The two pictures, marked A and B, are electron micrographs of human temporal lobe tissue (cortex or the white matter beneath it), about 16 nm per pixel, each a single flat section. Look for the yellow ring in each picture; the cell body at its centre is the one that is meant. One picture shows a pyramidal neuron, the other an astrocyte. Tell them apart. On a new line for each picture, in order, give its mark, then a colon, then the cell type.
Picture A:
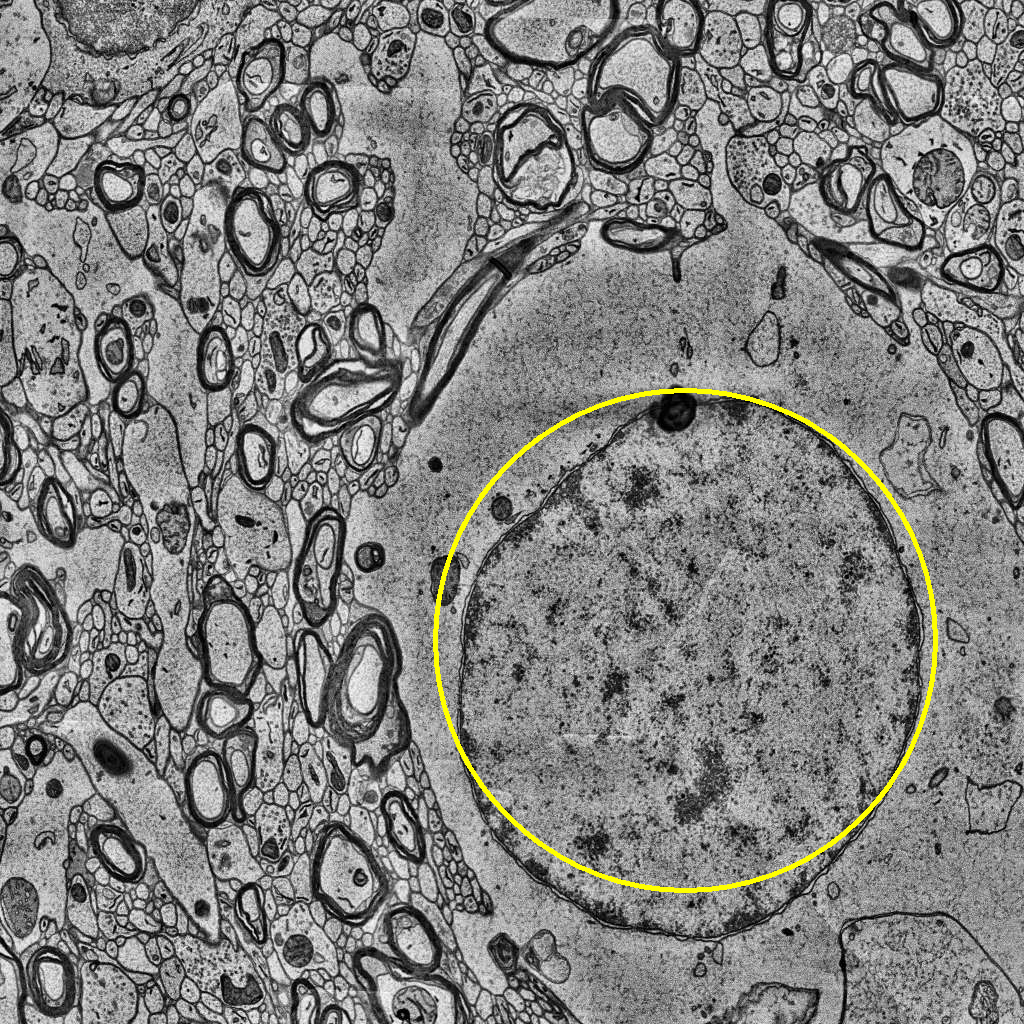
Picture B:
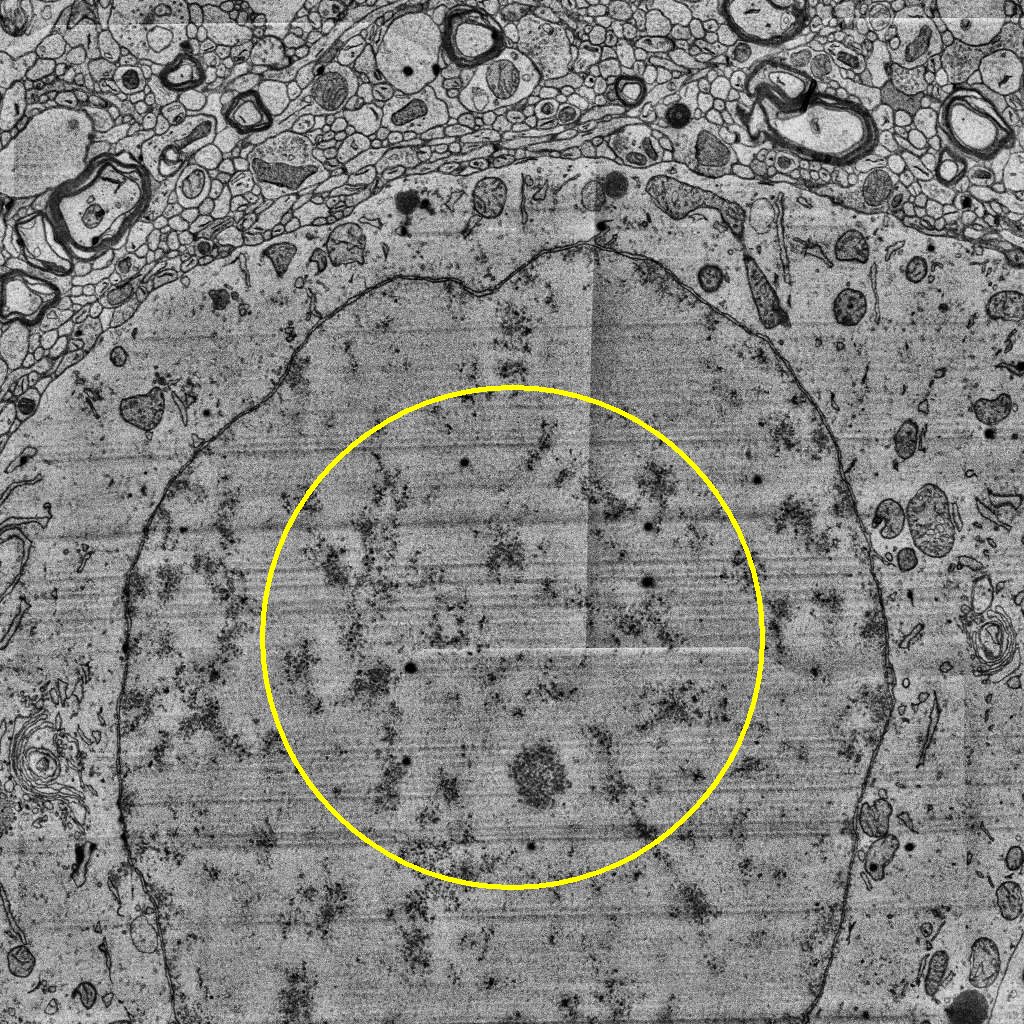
A: astrocyte
B: pyramidal neuron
